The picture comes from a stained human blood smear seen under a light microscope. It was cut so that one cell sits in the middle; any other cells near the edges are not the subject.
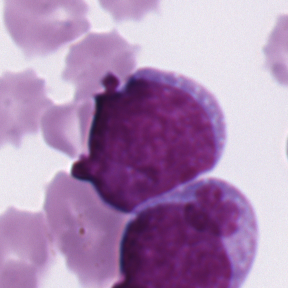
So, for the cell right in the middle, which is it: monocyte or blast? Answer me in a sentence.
The middle position in this crop is taken by a blast.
